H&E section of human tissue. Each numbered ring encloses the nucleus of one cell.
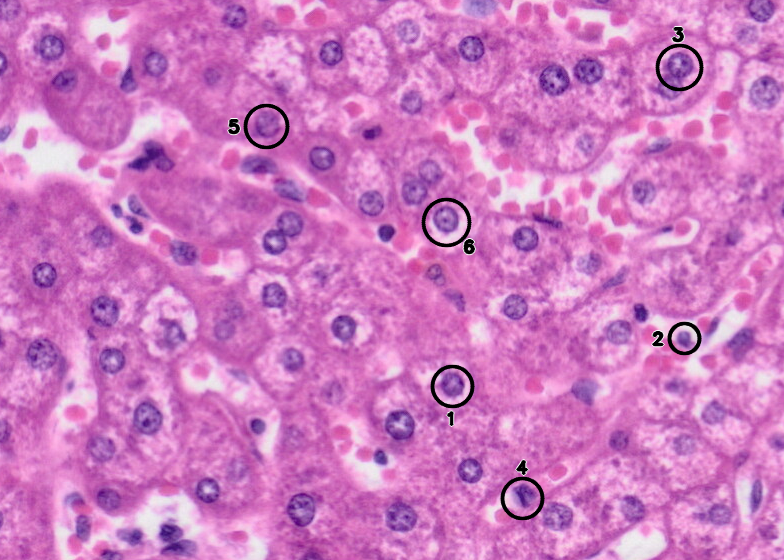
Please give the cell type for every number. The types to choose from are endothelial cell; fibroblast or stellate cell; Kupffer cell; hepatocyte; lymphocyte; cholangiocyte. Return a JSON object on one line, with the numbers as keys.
{"1": "hepatocyte", "2": "lymphocyte", "3": "hepatocyte", "4": "endothelial cell", "5": "hepatocyte", "6": "hepatocyte"}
